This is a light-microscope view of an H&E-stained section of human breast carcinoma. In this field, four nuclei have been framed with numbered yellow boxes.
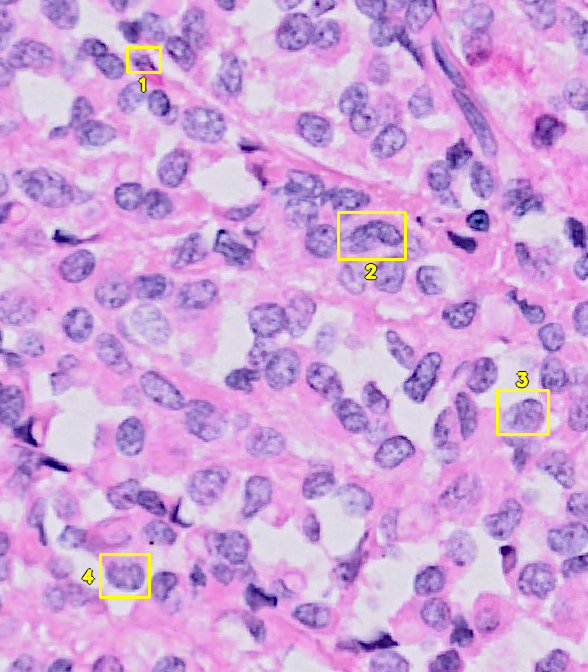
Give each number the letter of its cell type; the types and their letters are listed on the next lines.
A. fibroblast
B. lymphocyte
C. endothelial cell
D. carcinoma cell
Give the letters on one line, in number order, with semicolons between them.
C; D; D; D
